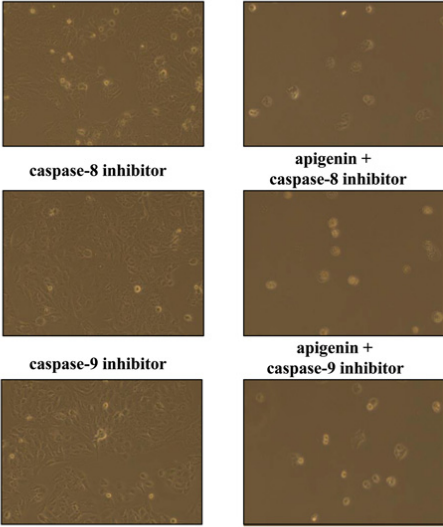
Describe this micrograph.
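These are cultured cells on a dish seen in phase contrast, arranged as six fields in three rows. In the three fields on the left the dish is densely covered with flat, spread cells that touch one another, with only a few small, round, bright cells scattered among them. In the three fields on the right the cells are far fewer, and most of them are rounded, with bright phase-contrast rims, rather than flattened on the dish. Between these rounded cells large stretches of the dish are bare.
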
